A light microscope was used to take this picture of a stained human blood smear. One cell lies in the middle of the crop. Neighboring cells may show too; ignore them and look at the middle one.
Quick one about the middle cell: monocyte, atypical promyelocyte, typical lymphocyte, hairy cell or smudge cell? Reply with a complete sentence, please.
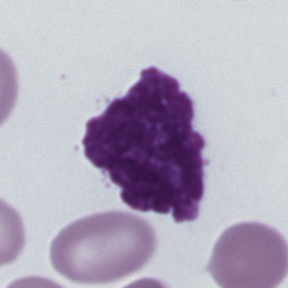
Within this crop, a smudge cell occupies the central position.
